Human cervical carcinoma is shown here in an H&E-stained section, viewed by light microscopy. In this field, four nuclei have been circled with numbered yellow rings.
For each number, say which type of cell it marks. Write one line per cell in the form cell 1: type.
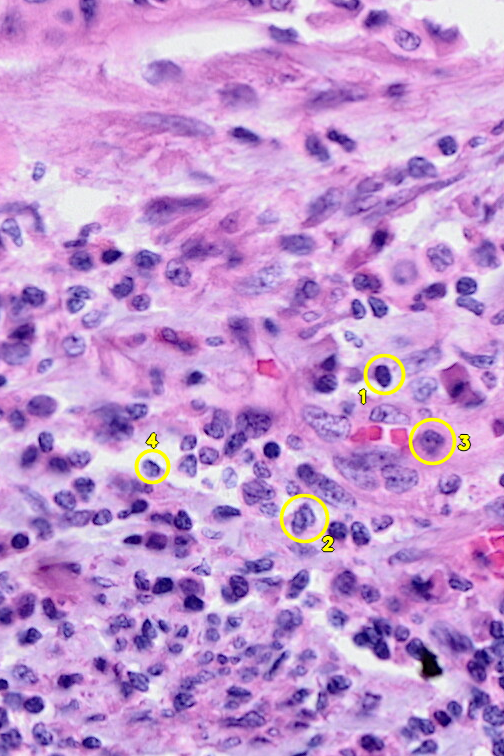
cell 1: lymphocyte
cell 2: lymphocyte
cell 3: endothelial cell
cell 4: lymphocyte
